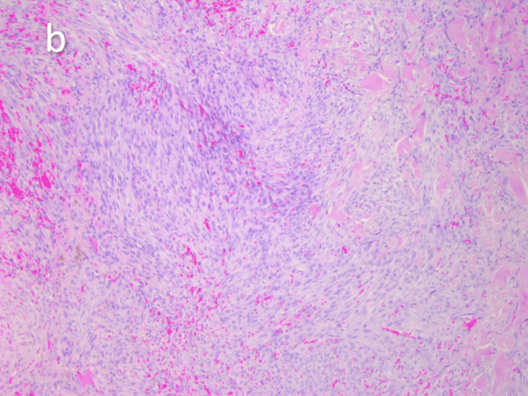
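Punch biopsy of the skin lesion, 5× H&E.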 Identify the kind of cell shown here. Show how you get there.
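Densely packed elongated cells with spindle-shaped purple nuclei. Cells arranged in sweeping fascicles. On this evidence: spindle cells.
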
